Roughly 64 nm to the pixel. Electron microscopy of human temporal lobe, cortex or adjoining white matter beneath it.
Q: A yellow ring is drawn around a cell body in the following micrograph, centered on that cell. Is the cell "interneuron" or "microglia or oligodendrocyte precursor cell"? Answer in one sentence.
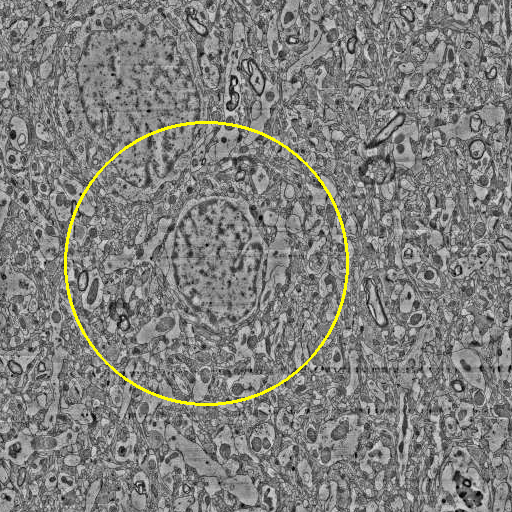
The cell in the center of the ring is a microglial cell or oligodendrocyte precursor cell.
